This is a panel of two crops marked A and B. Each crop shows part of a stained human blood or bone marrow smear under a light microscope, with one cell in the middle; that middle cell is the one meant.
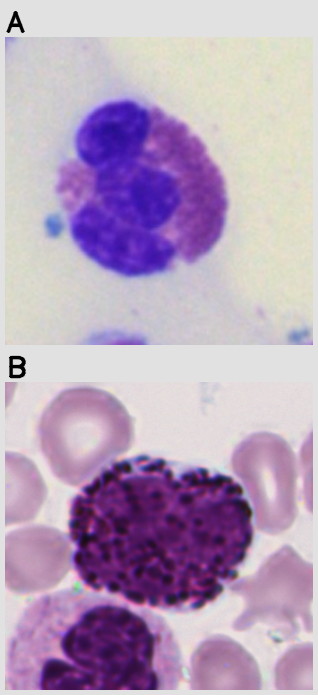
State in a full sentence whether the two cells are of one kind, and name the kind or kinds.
No, the cell centred in crop B is a basophil; crop A centres on an eosinophil.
